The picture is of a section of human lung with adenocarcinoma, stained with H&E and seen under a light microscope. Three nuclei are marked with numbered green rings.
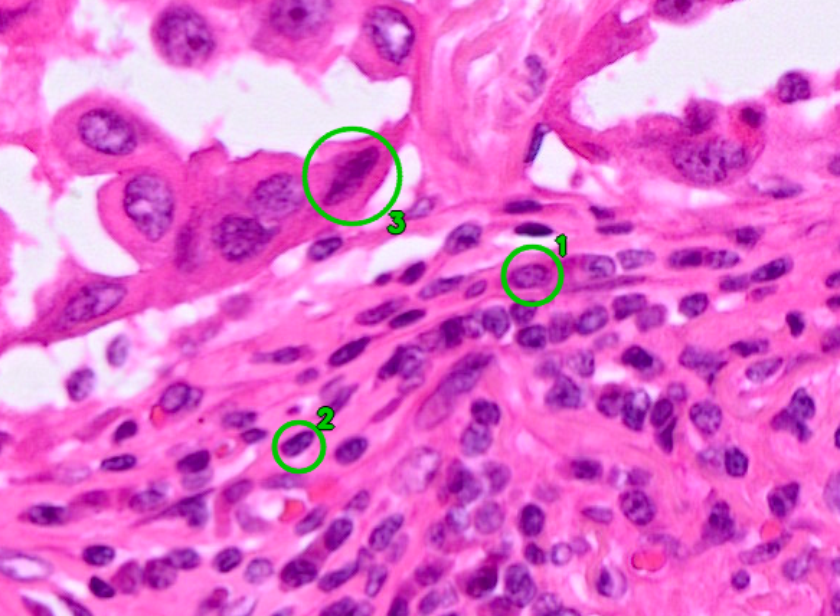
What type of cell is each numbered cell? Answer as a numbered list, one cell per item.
1. plasma cell
2. lymphocyte
3. carcinoma cell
